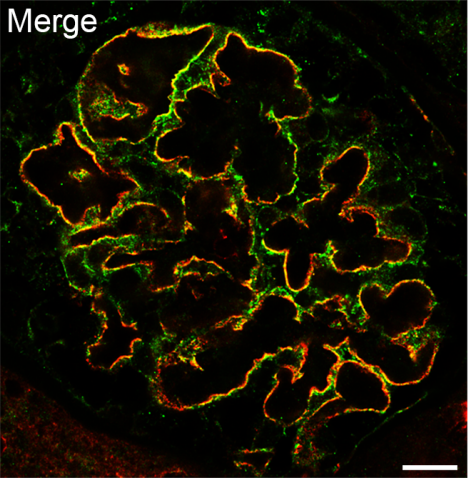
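This is a single glomerulus of the kidney, seen as a rounded, lobulated tuft of capillary loops on a dark background. Red lines trace the outer contours of the capillary loops, following their scalloped outline around the dark lumens. Green lines run along much the same contours, so that where the two coincide the outline appears yellow. Green is also found as a finer, more irregular network between the loops, towards the stalk-like centre of the tuft. The arrangement of the signal along the outer surface of the loops fits the cells covering the capillaries, the glomerular podocytes.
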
